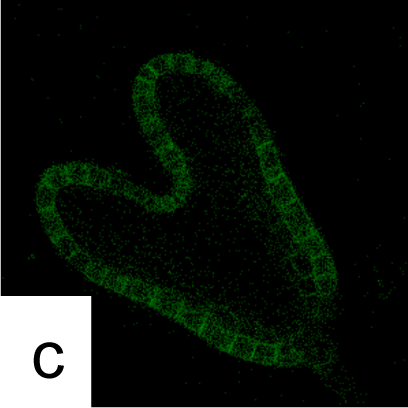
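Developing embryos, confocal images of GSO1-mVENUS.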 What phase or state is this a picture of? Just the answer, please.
late heart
